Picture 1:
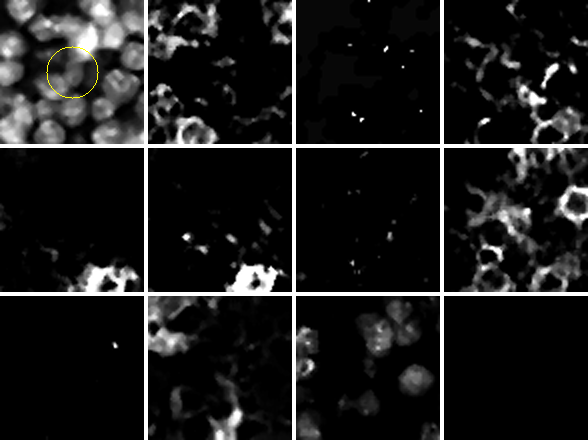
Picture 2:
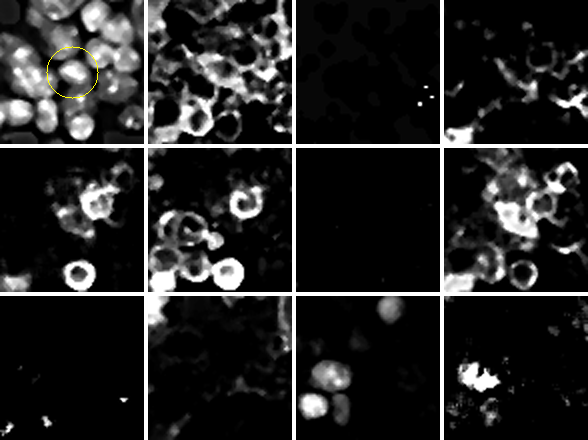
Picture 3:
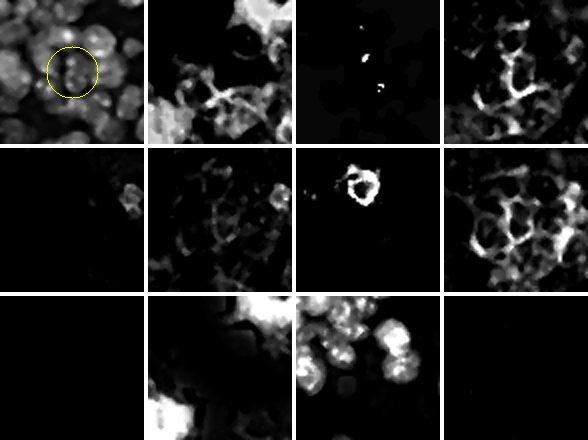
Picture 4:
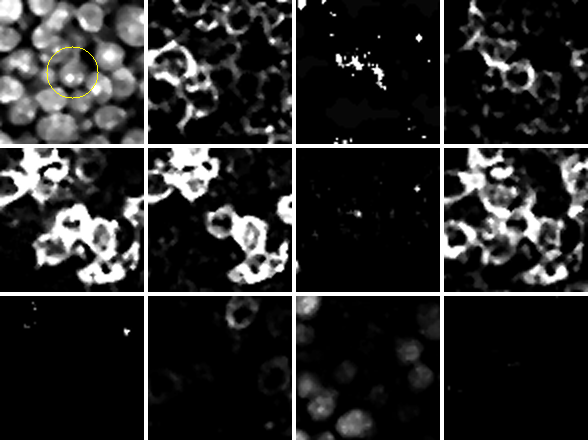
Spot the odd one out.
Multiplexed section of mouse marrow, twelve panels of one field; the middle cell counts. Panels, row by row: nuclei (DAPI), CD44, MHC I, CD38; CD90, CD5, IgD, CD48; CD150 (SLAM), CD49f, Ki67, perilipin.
Picture 4 (a T cell among monocytes).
